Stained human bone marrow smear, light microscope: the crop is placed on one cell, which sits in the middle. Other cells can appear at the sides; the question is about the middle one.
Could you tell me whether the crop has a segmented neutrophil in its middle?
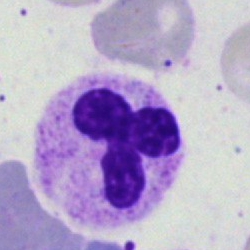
yes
